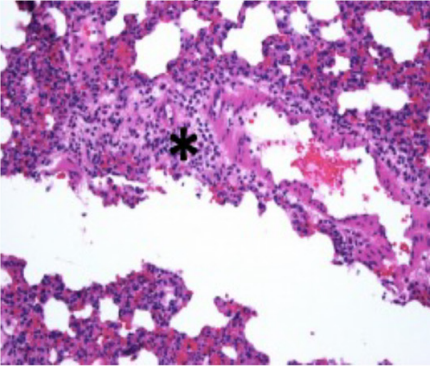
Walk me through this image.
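This section of lung shows a blood vessel surrounded by a wide cuff of loose, pale pink tissue in which many small inflammatory cells with dark nuclei are scattered. The vessel lumen holds red blood cells, and the neighbouring alveolar walls are thickened and packed with red blood cells. Open alveolar spaces lie above, and a large clear space runs along the lower part of the field.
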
